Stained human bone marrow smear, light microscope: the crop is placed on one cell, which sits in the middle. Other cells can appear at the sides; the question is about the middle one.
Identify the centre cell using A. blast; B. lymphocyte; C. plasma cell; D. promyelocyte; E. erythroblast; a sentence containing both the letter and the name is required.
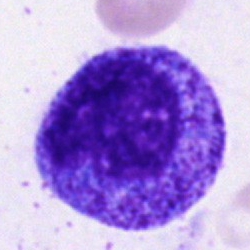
Answer key: option D, the middle cell being a promyelocyte.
